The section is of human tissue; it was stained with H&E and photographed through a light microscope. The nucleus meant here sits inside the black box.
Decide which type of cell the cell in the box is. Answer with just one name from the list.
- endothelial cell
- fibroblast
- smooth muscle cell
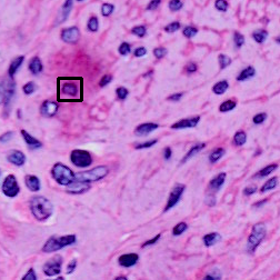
smooth muscle cell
